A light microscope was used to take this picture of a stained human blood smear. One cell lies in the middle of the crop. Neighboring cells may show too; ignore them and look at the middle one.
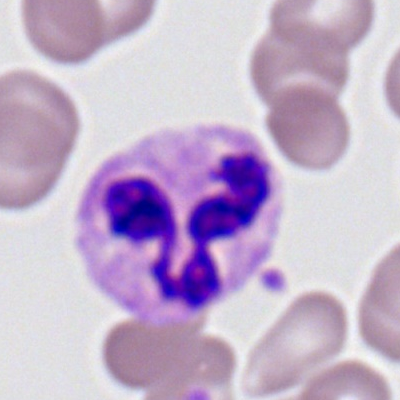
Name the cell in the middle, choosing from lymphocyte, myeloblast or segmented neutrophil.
segmented neutrophil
